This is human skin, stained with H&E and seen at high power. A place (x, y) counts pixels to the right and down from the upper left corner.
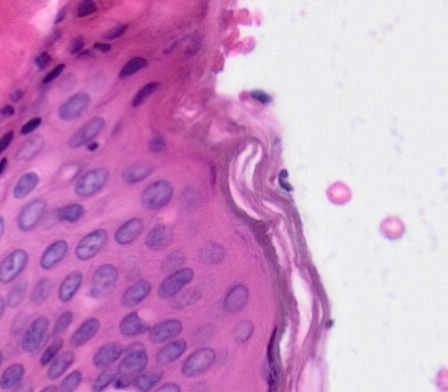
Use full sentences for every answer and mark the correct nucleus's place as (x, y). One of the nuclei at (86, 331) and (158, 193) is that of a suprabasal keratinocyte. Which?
So, of the two, the nucleus at (158, 193) is the one belonging to a suprabasal keratinocyte.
